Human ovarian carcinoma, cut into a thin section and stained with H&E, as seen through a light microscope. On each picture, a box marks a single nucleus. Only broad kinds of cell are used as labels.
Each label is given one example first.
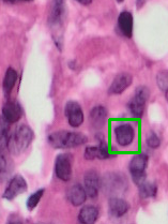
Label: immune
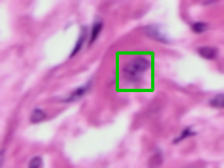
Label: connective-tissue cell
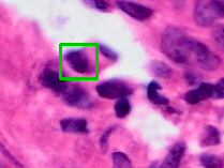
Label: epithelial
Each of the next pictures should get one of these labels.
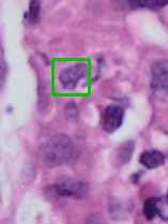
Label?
immune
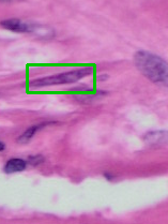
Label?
connective-tissue cell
